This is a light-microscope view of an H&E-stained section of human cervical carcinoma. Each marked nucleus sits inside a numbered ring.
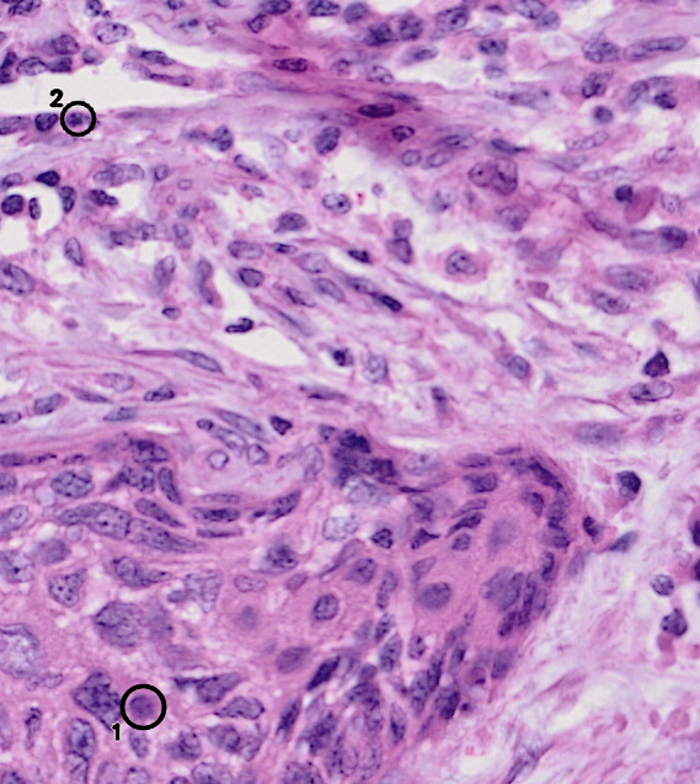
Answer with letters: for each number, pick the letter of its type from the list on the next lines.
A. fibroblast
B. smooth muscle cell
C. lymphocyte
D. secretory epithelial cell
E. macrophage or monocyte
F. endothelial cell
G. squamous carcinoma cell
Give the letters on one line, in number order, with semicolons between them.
G; C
